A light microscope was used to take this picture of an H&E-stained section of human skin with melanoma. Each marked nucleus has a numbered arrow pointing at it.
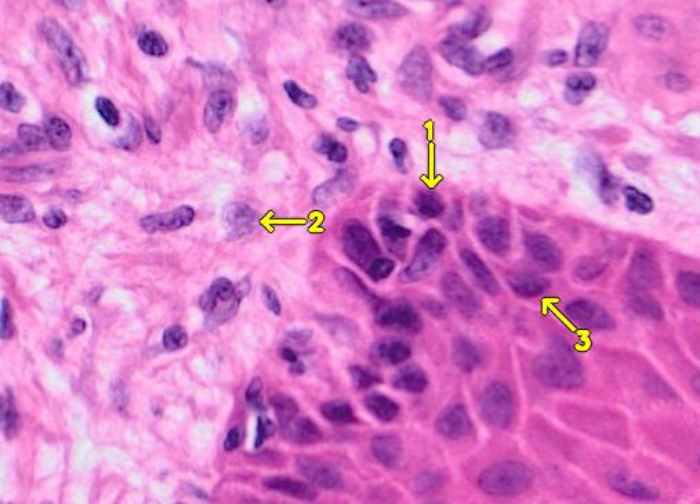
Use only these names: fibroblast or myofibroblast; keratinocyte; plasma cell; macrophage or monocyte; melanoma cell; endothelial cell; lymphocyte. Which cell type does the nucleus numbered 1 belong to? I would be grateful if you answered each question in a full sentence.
The cell that carries the label 1 is a keratinocyte.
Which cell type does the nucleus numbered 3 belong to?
The numbered cell 3 in this field is a keratinocyte.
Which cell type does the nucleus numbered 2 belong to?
The cell pointed out as number 2 is a fibroblast or myofibroblast.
